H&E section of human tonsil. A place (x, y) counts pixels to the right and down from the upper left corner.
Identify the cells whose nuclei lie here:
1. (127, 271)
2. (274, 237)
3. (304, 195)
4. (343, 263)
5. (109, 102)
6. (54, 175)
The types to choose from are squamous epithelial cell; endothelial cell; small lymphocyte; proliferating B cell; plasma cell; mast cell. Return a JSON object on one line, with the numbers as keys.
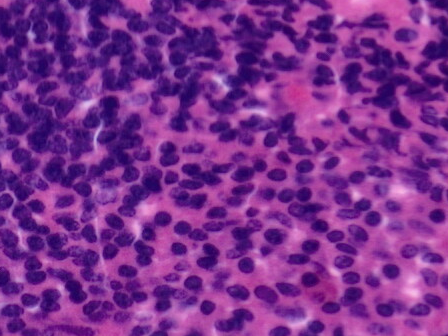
{"1": "plasma cell", "2": "plasma cell", "3": "plasma cell", "4": "plasma cell", "5": "small lymphocyte", "6": "small lymphocyte"}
